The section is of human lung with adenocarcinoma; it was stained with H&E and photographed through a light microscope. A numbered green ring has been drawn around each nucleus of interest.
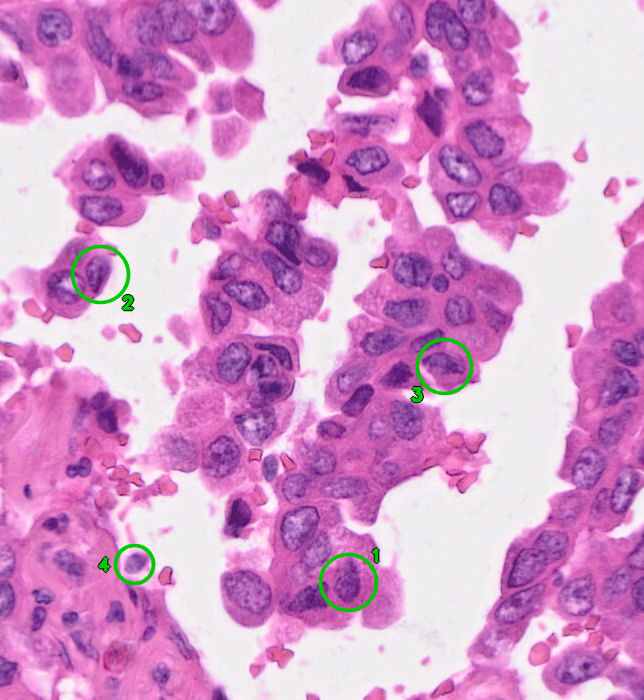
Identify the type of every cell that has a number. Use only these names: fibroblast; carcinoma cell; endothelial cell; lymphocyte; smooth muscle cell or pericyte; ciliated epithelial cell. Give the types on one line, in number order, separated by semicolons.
carcinoma cell; carcinoma cell; carcinoma cell; lymphocyte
